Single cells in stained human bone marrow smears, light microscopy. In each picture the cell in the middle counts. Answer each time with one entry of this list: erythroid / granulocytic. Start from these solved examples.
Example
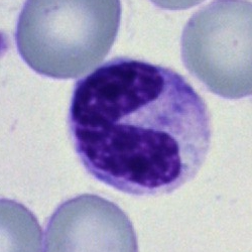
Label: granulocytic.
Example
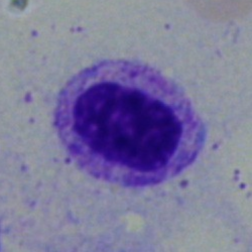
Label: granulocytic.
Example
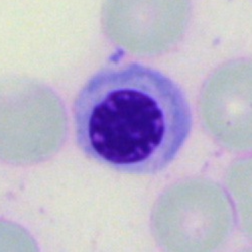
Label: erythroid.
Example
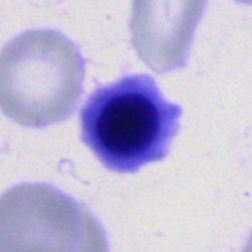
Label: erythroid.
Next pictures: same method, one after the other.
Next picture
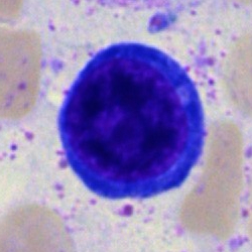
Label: erythroid.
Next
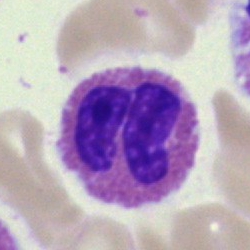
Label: granulocytic.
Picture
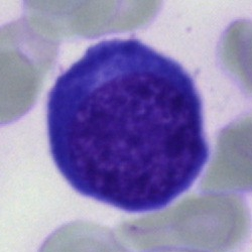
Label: erythroid.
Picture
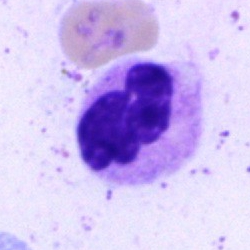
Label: granulocytic.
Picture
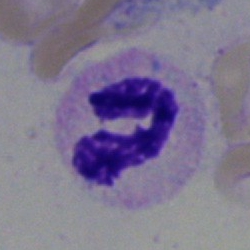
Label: granulocytic.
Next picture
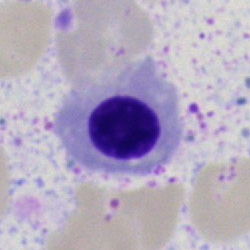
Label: erythroid.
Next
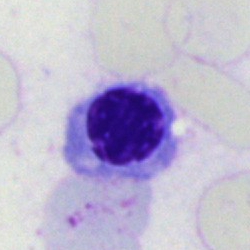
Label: erythroid.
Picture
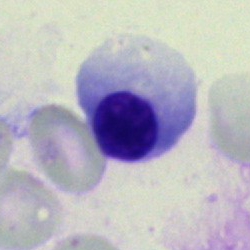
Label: erythroid.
